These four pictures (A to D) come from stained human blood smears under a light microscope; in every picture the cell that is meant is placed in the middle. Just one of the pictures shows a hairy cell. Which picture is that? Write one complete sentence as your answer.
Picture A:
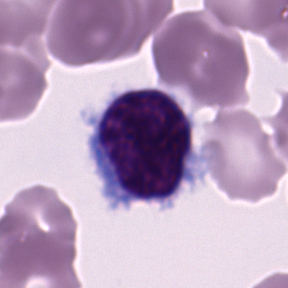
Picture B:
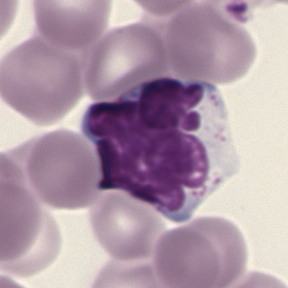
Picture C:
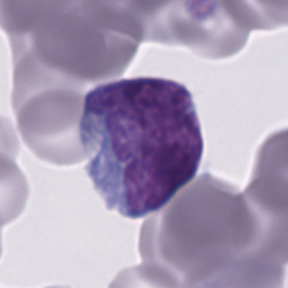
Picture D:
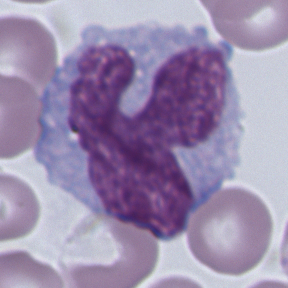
The hairy cell is the one in picture A.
